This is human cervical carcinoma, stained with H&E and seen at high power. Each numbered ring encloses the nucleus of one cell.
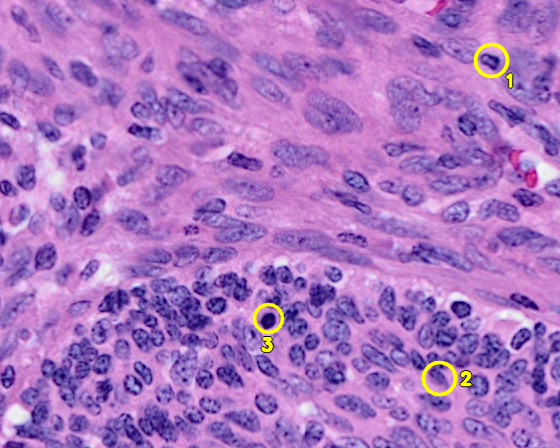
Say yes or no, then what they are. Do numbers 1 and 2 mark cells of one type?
No, here cell 1 is a lymphocyte, whereas cell 2 is a squamous carcinoma cell.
